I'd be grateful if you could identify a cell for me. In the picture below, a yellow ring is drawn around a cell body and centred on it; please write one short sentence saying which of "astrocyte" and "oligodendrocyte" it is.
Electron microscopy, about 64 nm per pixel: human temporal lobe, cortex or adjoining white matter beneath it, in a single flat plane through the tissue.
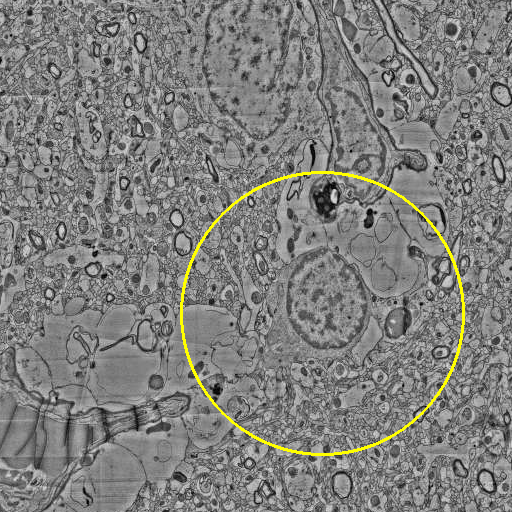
The cell under the ring's centre is an oligodendrocyte.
